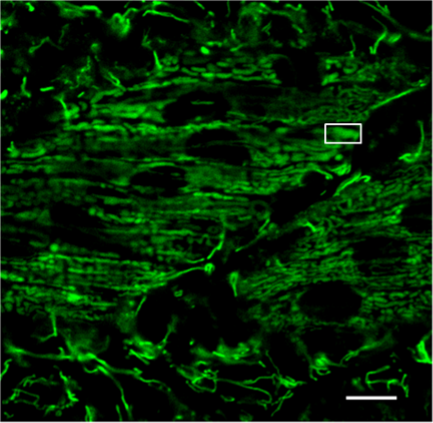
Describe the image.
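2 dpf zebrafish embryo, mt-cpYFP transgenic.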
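Dark oval gaps without green signal lie within several fibres and likely mark nuclei. Between the fibres and along the upper and lower edges are irregular, brighter green threads and loops with a different pattern. A small white rectangle marks a short stretch of one fibre on the right. The fibres look intact and closely packed.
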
